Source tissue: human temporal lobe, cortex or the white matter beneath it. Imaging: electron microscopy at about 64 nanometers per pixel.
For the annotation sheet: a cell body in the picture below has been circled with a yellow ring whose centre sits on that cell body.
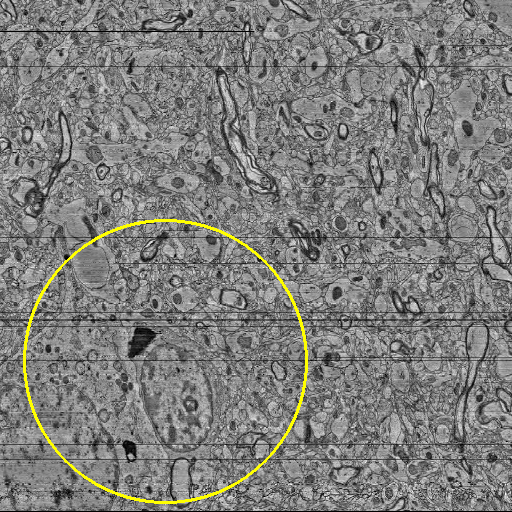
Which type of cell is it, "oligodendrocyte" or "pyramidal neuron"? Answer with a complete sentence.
The circled cell is an oligodendrocyte.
